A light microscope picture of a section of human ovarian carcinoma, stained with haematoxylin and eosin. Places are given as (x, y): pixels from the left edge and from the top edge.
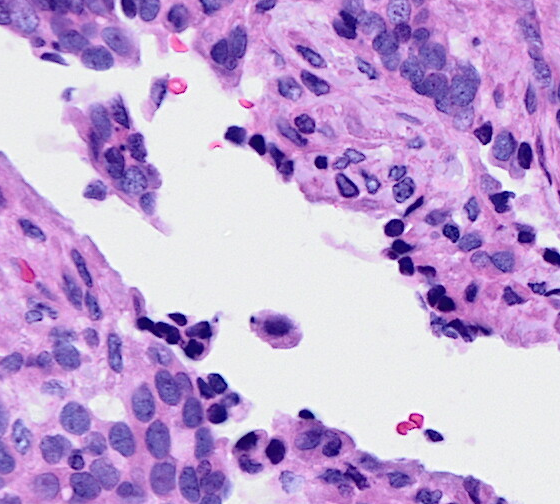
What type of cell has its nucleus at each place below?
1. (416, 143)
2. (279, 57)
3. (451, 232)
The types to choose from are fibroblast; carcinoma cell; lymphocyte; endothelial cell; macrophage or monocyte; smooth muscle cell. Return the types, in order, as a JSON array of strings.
["fibroblast", "fibroblast", "lymphocyte"]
